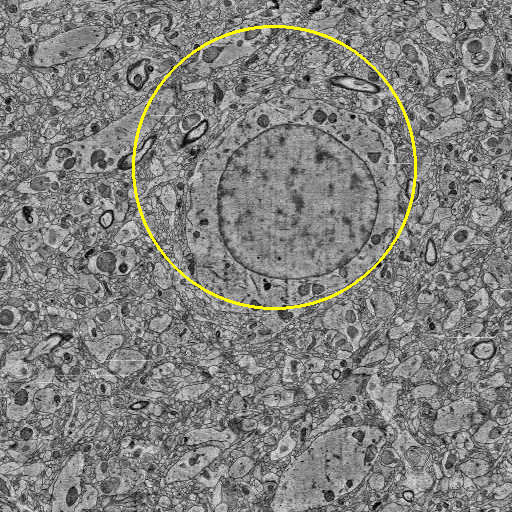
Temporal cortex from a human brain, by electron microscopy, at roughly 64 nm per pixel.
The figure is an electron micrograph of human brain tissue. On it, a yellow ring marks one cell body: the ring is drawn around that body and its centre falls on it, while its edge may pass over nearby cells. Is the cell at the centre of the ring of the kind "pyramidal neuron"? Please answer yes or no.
yes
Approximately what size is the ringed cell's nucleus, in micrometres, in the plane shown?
About 10 micrometres across in this plane.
